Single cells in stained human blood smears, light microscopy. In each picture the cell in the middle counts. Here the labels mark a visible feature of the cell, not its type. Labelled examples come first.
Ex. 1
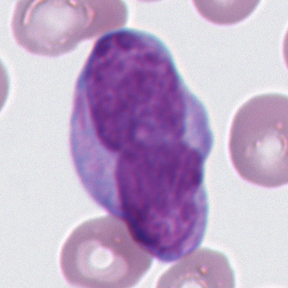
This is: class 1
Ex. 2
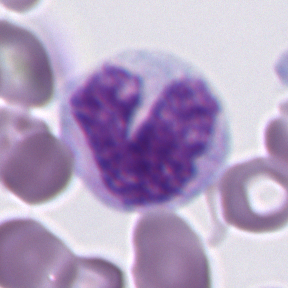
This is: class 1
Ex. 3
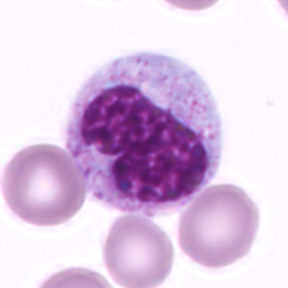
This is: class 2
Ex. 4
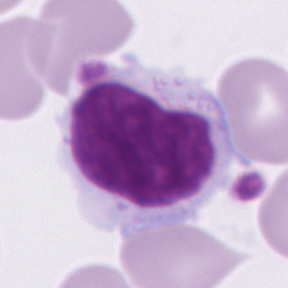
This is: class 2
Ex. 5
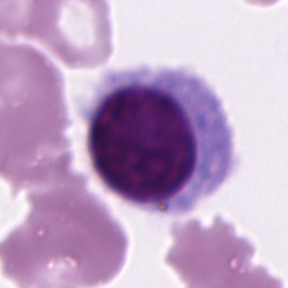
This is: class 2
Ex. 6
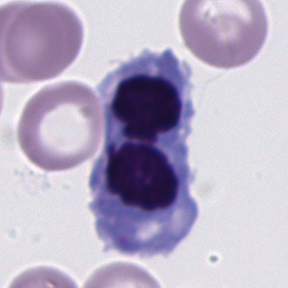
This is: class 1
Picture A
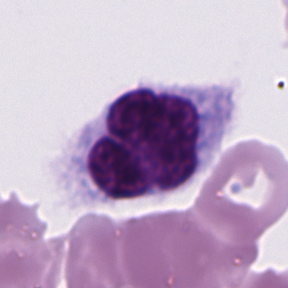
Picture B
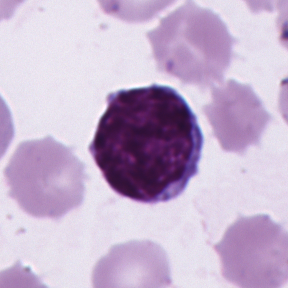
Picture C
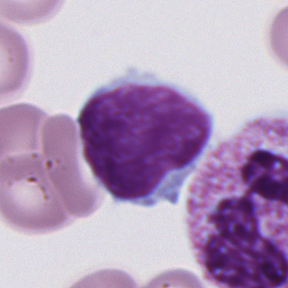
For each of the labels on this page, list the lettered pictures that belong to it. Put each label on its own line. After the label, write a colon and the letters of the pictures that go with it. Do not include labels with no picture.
class 1: A
class 2: B, C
